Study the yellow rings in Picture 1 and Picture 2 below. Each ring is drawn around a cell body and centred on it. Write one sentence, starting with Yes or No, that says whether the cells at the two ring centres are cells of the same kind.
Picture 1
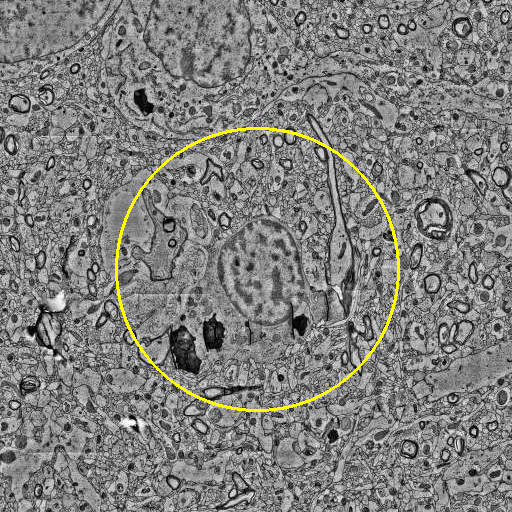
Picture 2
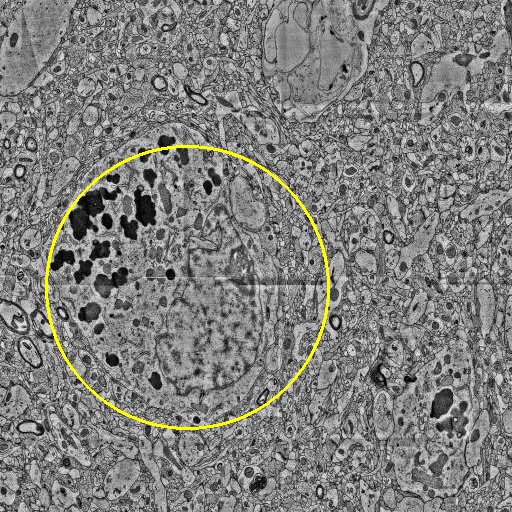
No, the cells at the ring centres are of two kinds.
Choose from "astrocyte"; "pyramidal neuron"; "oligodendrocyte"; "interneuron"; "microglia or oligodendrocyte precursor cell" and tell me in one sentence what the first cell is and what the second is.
What the first ring is centred on is an oligodendrocyte; what the second ring is centred on is an interneuron.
